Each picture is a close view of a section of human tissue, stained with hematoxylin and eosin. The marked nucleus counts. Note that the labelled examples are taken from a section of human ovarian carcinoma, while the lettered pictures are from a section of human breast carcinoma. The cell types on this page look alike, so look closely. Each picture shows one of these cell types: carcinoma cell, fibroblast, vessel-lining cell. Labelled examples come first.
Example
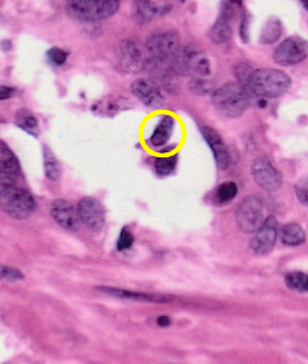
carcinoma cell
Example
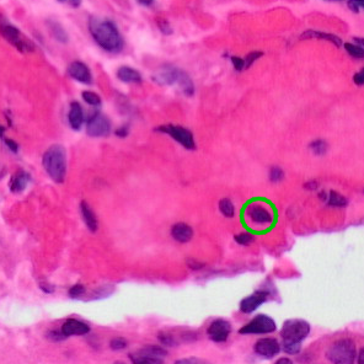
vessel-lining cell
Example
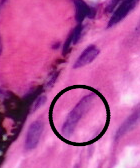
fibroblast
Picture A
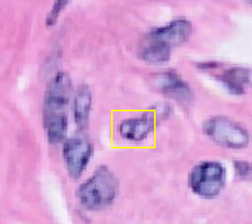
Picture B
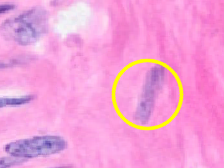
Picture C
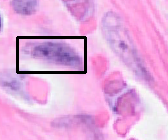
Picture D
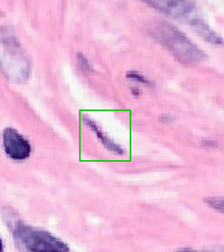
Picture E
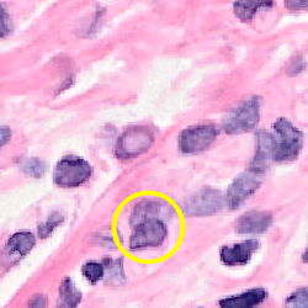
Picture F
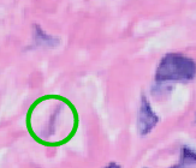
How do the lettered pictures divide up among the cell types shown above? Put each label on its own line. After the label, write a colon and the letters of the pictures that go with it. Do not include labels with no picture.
carcinoma cell: E
fibroblast: B, D, F
vessel-lining cell: A, C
